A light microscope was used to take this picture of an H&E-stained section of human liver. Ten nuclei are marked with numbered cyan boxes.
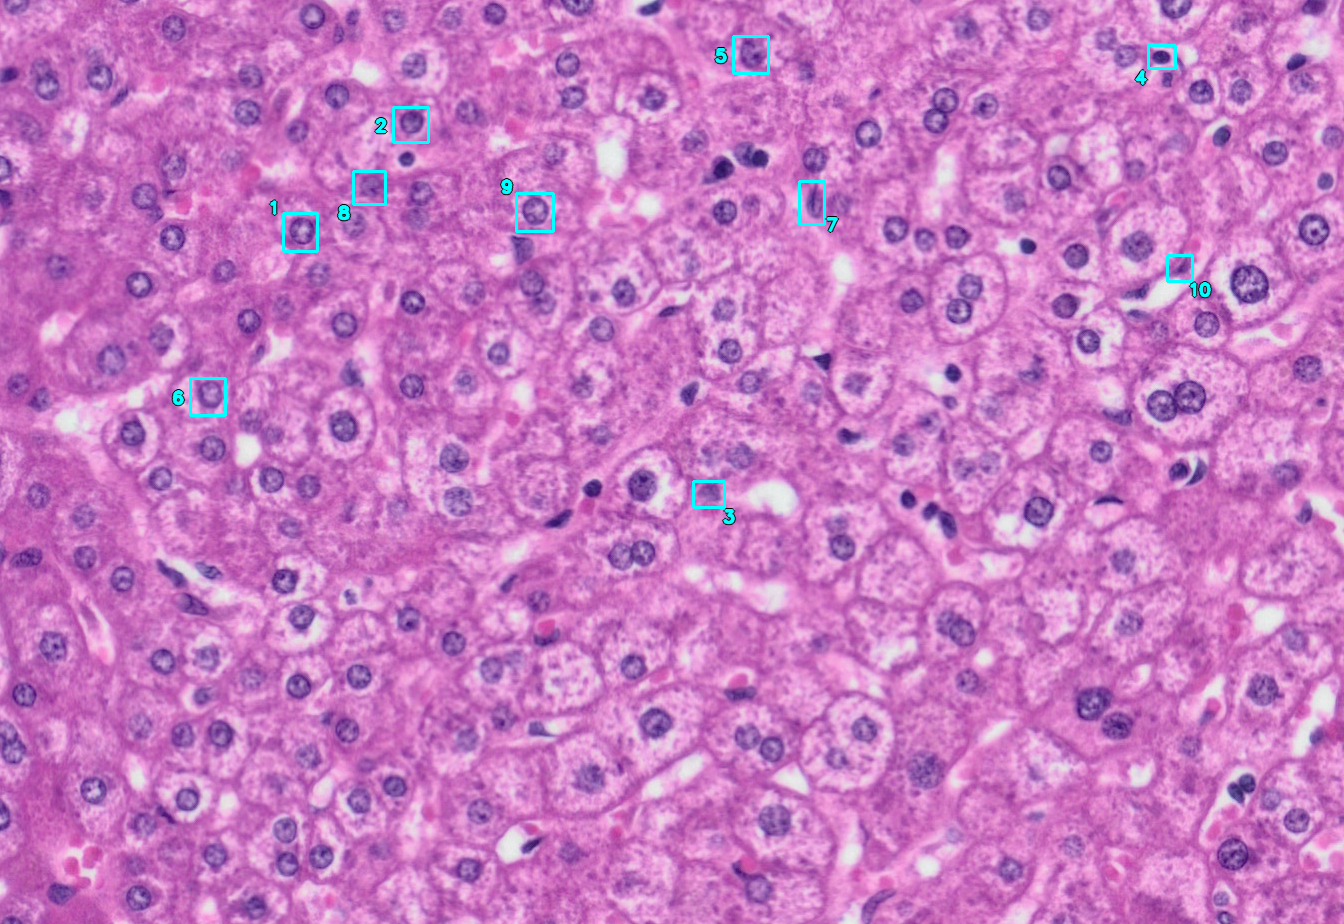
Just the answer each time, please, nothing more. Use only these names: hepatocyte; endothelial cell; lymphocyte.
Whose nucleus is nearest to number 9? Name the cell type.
endothelial cell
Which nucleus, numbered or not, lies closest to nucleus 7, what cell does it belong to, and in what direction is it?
a hepatocyte; to the right of nucleus 7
